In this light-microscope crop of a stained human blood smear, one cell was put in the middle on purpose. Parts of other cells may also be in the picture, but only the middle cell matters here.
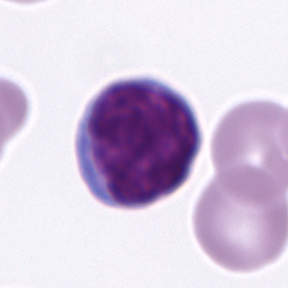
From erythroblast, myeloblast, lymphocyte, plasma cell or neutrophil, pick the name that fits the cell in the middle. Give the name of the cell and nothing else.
lymphocyte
